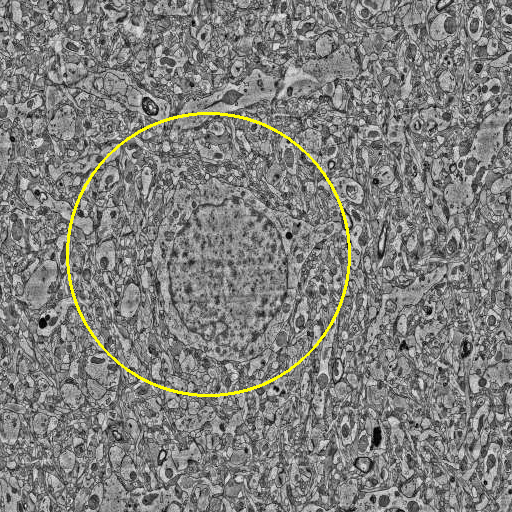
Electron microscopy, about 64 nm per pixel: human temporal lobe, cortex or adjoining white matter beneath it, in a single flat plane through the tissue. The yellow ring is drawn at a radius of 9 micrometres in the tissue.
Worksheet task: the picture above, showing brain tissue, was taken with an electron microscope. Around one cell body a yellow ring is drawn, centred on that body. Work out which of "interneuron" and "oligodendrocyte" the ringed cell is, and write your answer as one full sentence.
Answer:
It is an interneuron whose cell body lies at the centre of the yellow ring.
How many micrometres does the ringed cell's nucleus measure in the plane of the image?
In this plane the nucleus spans approximately 9 by 8 micrometers.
